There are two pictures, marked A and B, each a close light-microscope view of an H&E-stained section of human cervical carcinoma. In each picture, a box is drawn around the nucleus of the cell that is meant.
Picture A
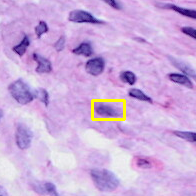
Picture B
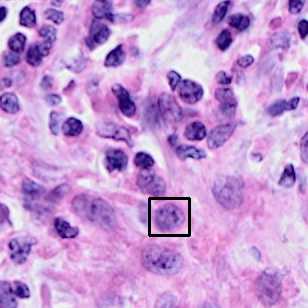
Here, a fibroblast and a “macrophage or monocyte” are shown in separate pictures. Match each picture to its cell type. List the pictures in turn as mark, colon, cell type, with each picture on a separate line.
A: fibroblast
B: macrophage or monocyte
